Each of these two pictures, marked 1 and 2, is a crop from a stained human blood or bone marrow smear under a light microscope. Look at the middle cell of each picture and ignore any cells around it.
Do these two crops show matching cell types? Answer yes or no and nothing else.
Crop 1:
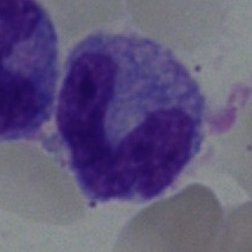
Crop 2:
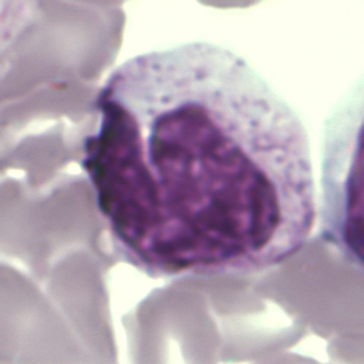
no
